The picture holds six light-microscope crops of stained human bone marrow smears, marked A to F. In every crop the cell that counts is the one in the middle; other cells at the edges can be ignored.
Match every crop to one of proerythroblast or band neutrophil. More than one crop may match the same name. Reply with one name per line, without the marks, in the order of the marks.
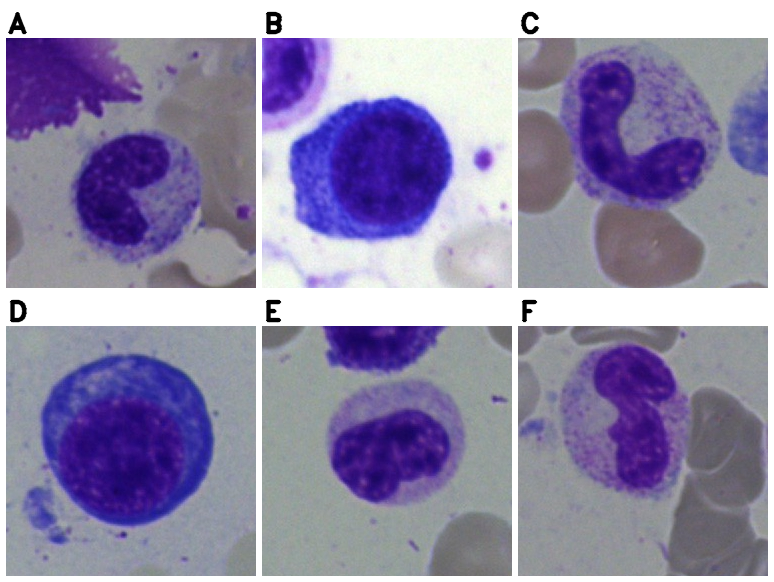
band neutrophil
proerythroblast
band neutrophil
proerythroblast
band neutrophil
band neutrophil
